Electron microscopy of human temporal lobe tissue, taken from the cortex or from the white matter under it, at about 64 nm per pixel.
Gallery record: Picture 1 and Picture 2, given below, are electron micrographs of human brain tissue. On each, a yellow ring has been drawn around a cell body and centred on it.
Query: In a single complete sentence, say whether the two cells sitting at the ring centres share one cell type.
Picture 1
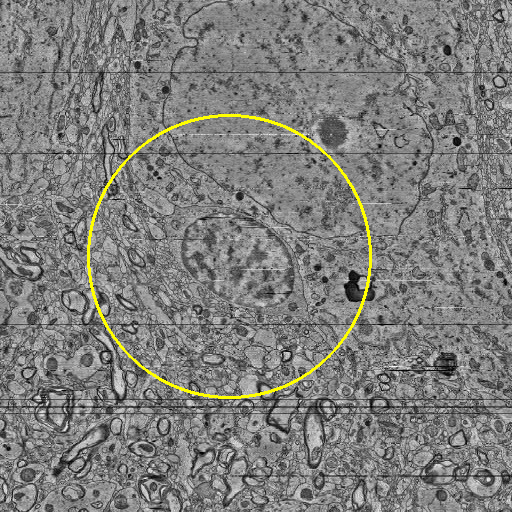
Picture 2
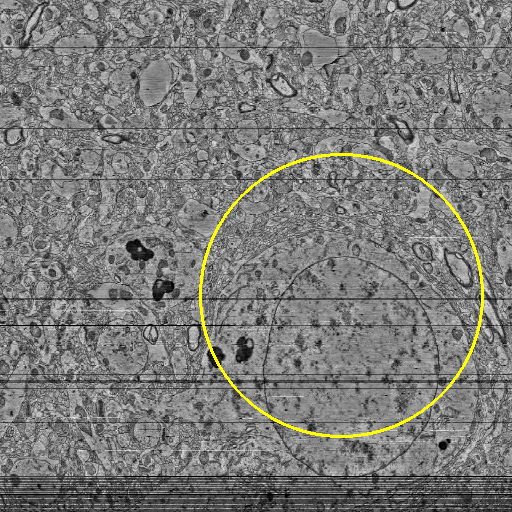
No, in the two pictures the cells at the rings' centres are of two separate types.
